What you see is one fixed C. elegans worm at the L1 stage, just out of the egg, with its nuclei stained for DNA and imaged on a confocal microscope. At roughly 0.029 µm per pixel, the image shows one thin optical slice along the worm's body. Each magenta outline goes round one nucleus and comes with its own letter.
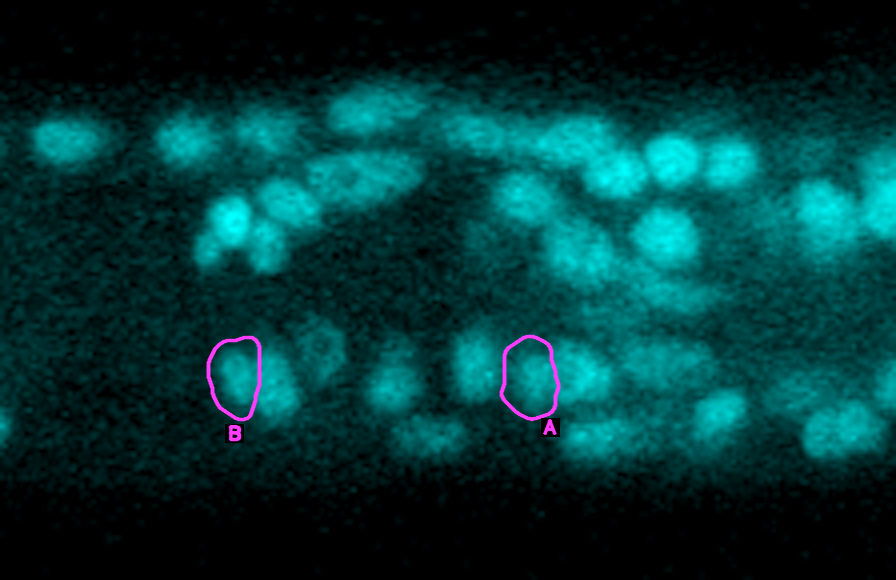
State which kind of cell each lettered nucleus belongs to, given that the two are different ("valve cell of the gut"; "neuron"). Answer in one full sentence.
A belongs to a neuron and B to a valve cell of the gut.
